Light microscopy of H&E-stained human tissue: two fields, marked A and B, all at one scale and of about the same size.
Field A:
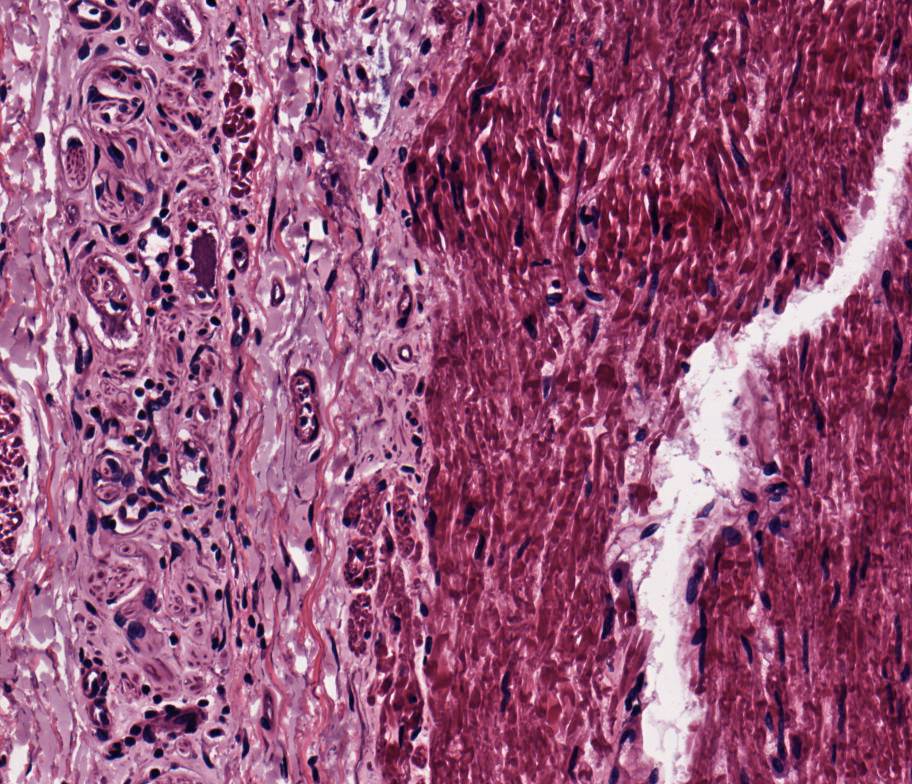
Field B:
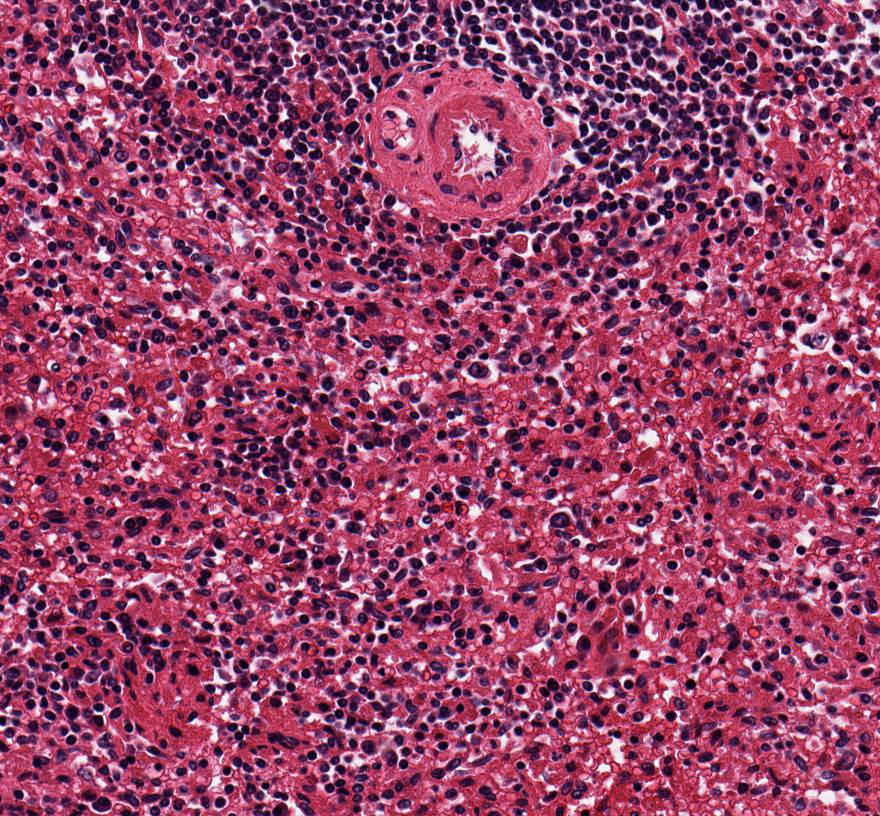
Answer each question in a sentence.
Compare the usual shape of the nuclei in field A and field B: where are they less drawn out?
Rounder nuclei lie in field B.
